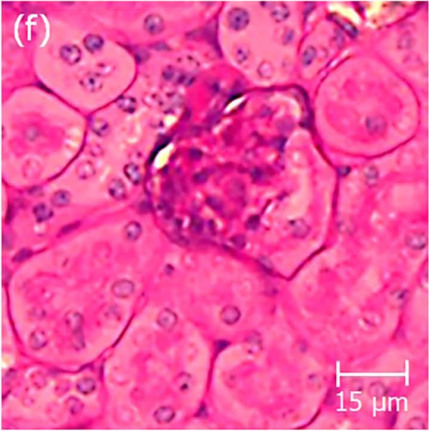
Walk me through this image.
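A glomerulus appears at the centre as a rounded purple tuft of cells with many nuclei, partly outlined by a thin capsule with a narrow clear space. Surrounding renal tubules are cut in cross-section and lined by cuboidal epithelial cells with round nuclei and pink cytoplasm, with no obvious lesions in the tissue.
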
